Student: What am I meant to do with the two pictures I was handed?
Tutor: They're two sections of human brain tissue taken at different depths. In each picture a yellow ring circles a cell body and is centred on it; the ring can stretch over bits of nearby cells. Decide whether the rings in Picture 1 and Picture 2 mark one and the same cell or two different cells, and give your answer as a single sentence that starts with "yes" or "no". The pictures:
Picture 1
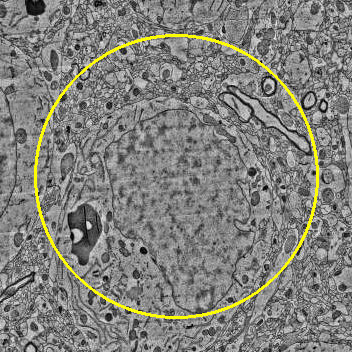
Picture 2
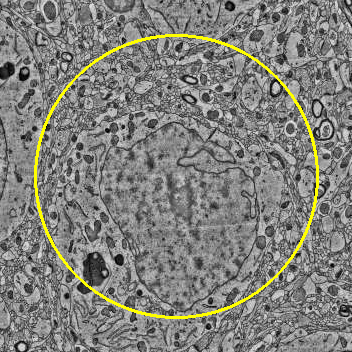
Yes, the two rings refer to one cell in the tissue.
